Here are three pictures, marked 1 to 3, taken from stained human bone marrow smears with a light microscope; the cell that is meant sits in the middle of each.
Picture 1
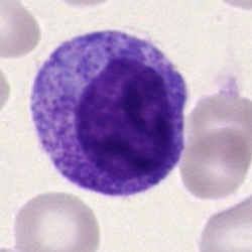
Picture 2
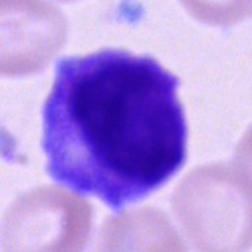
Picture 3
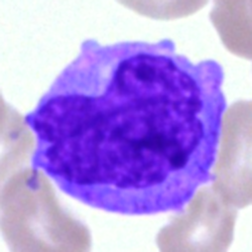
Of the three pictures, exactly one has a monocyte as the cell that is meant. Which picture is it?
3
